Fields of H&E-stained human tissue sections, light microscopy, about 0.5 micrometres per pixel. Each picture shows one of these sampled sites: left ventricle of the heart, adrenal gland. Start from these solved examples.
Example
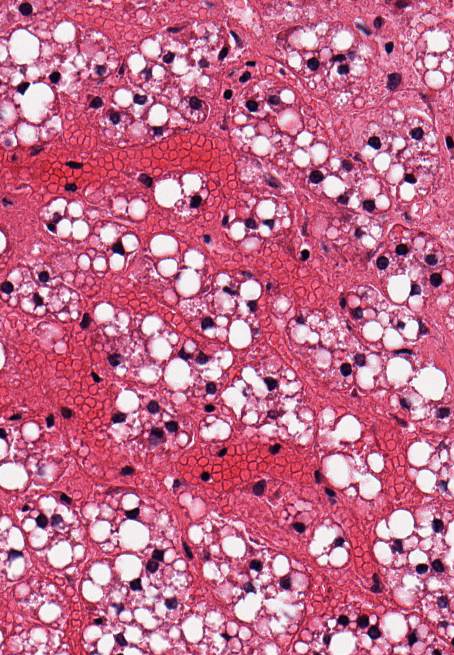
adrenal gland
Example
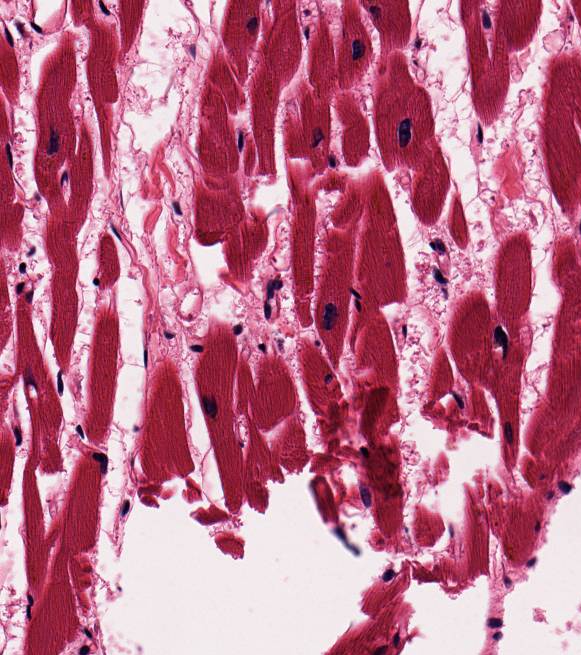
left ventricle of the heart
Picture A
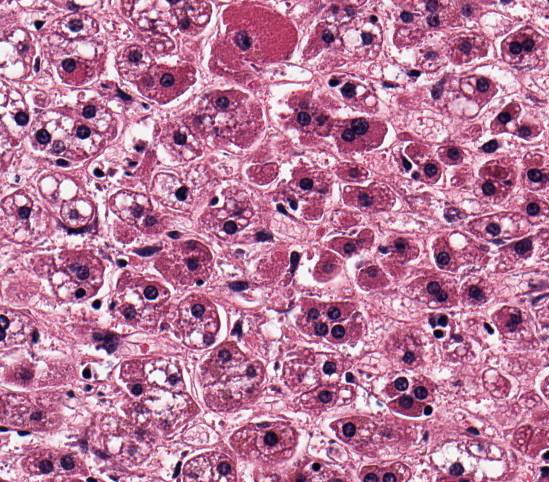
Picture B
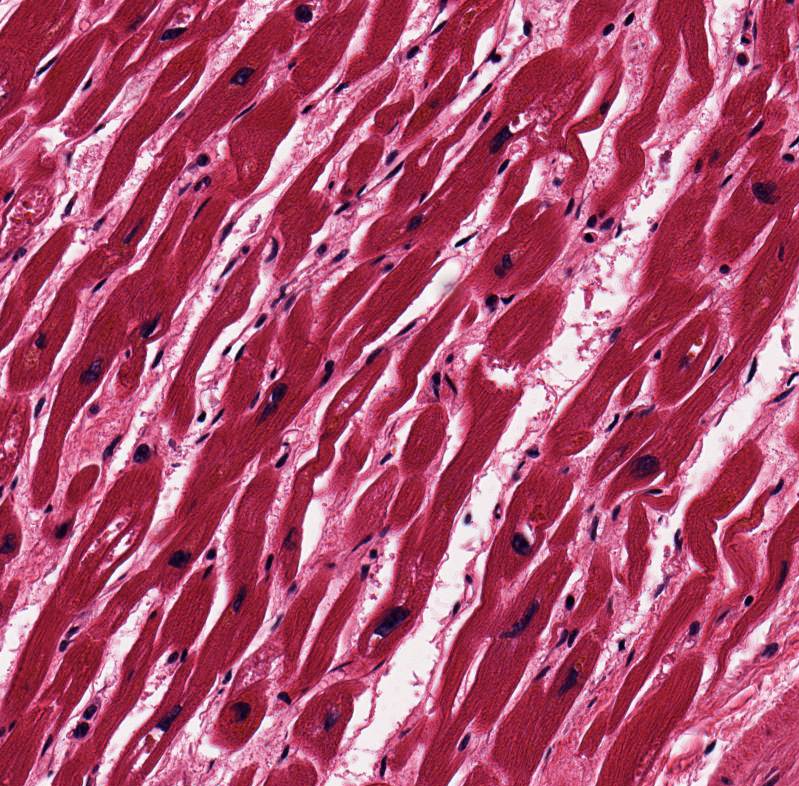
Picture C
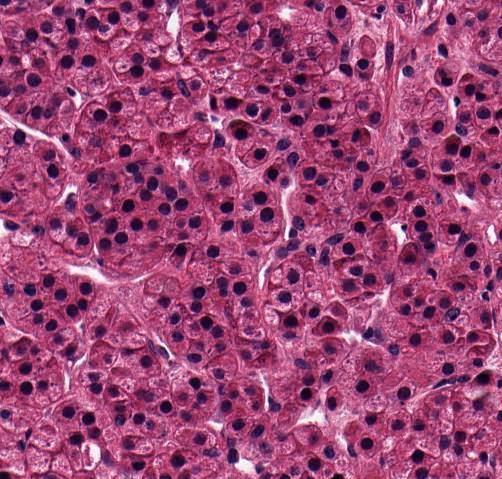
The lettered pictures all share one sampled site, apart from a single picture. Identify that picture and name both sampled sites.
Picture B: left ventricle of the heart. All others: adrenal gland.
